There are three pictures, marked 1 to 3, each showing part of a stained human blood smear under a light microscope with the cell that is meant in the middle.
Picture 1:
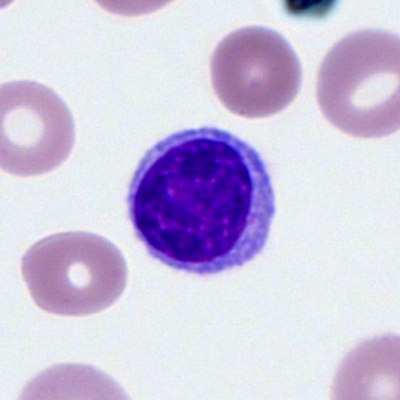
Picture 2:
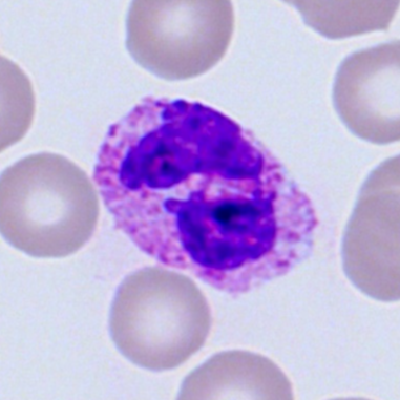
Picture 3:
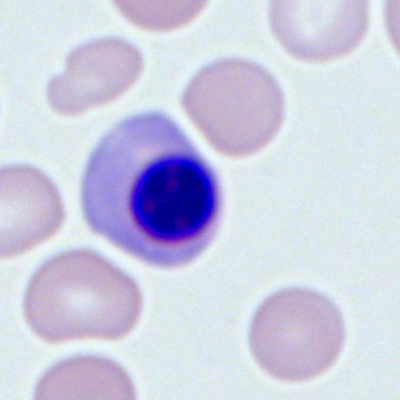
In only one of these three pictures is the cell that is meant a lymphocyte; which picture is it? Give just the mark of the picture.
1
